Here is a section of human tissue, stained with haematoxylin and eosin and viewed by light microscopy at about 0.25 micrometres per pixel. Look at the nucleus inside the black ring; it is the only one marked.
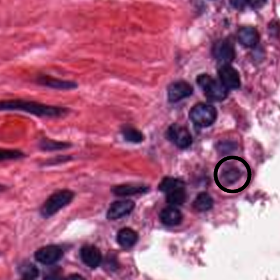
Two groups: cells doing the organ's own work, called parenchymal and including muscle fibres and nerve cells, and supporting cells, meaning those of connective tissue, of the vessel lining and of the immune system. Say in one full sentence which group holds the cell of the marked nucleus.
To a parenchymal cell, namely a prostate gland luminal cell, belongs the marked nucleus.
